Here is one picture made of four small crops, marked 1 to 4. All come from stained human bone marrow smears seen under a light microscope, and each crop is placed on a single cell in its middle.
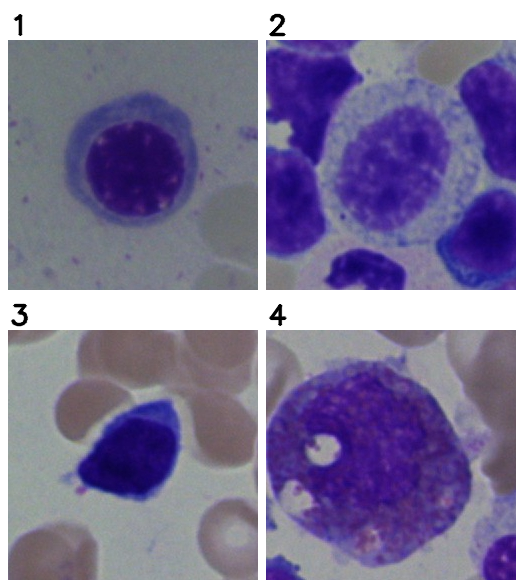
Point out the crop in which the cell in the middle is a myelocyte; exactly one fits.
2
